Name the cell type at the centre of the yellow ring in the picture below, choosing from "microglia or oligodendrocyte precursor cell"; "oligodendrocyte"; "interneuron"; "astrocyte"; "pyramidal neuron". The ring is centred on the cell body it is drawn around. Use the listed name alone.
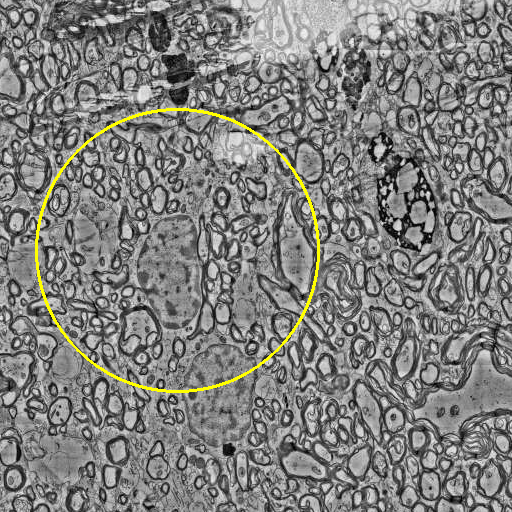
microglia or oligodendrocyte precursor cell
